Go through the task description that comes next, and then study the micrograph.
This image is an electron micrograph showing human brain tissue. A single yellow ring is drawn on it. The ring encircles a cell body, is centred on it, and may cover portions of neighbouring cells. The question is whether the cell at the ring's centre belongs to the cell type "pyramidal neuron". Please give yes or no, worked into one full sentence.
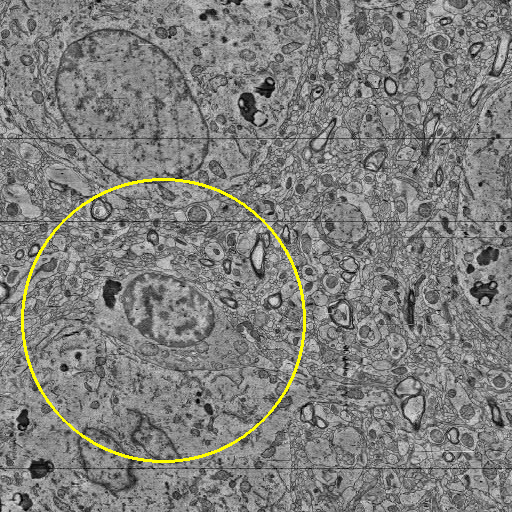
No, the cell that the ring is centred on in the micrograph is of another kind.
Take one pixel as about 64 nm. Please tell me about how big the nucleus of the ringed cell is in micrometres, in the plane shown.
The nucleus measures about 6 by 4 micrometres in this plane.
